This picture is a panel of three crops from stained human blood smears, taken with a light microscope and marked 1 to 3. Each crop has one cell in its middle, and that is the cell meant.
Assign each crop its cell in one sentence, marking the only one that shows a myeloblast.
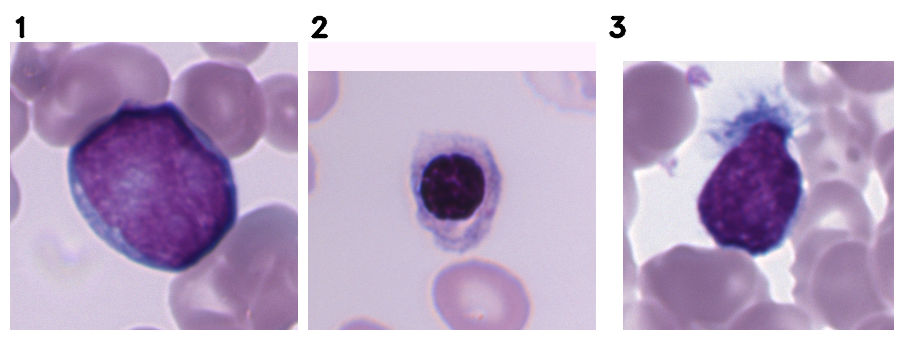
The cell at the centre of crop 1 is a myeloblast, while crop 2 is a normoblast and crop 3 is a typical lymphocyte.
